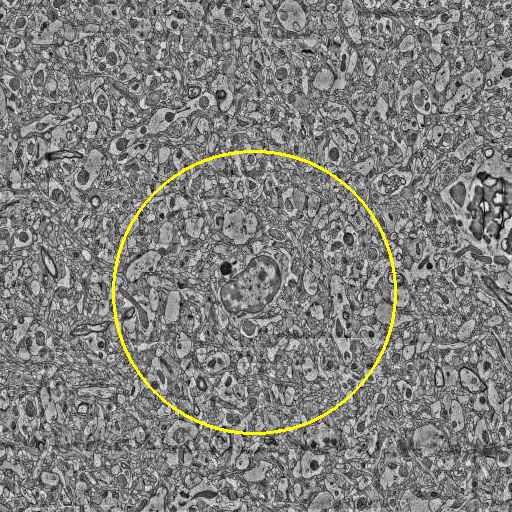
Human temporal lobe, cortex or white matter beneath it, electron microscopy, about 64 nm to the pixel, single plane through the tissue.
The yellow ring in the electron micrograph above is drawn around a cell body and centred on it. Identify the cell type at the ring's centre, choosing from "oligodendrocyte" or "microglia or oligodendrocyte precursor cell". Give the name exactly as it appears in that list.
microglia or oligodendrocyte precursor cell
